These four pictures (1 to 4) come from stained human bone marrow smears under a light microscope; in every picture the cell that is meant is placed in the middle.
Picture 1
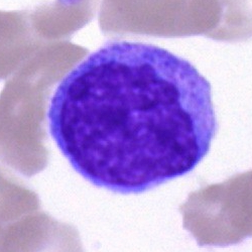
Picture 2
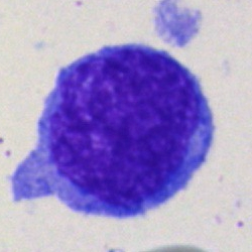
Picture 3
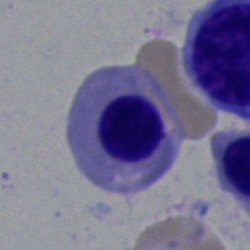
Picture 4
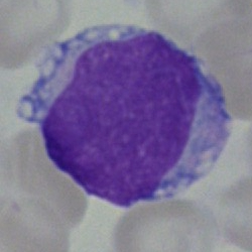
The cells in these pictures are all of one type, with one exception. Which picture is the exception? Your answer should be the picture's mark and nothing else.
3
